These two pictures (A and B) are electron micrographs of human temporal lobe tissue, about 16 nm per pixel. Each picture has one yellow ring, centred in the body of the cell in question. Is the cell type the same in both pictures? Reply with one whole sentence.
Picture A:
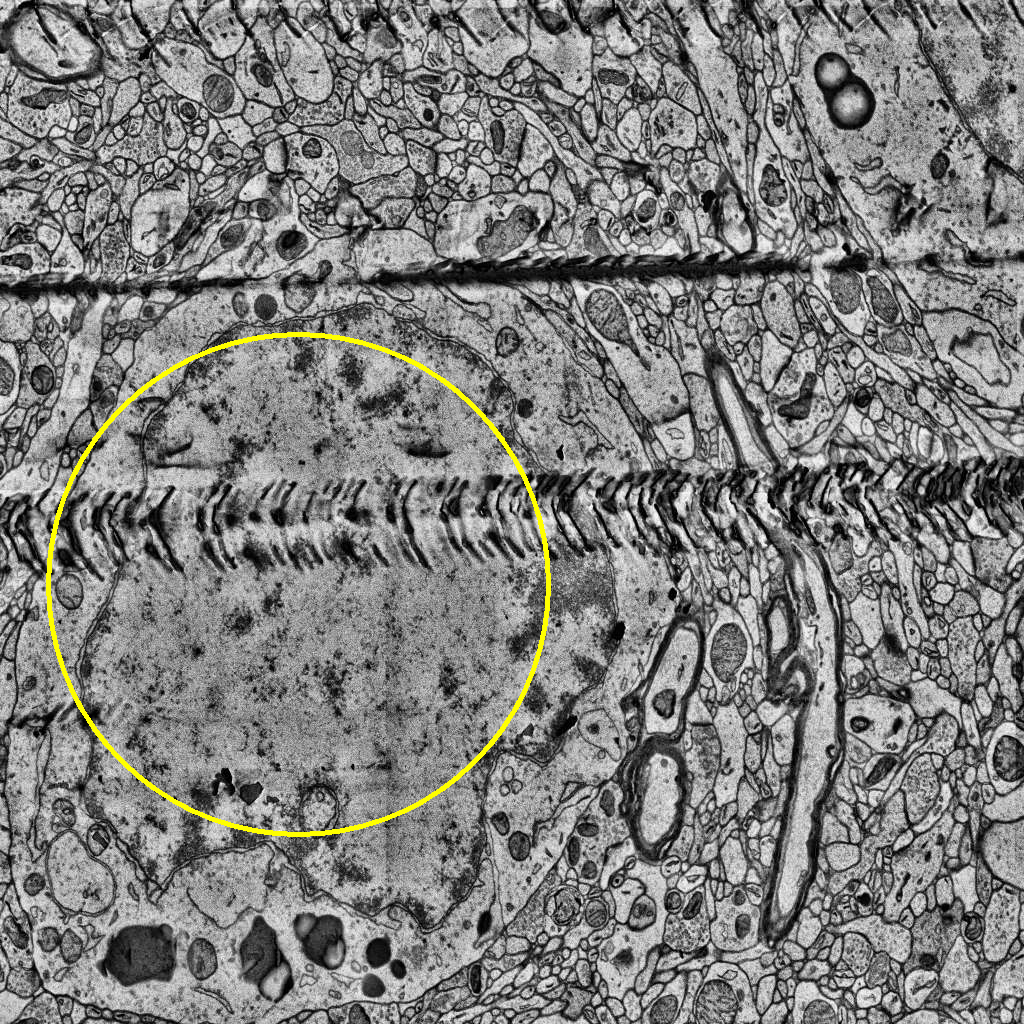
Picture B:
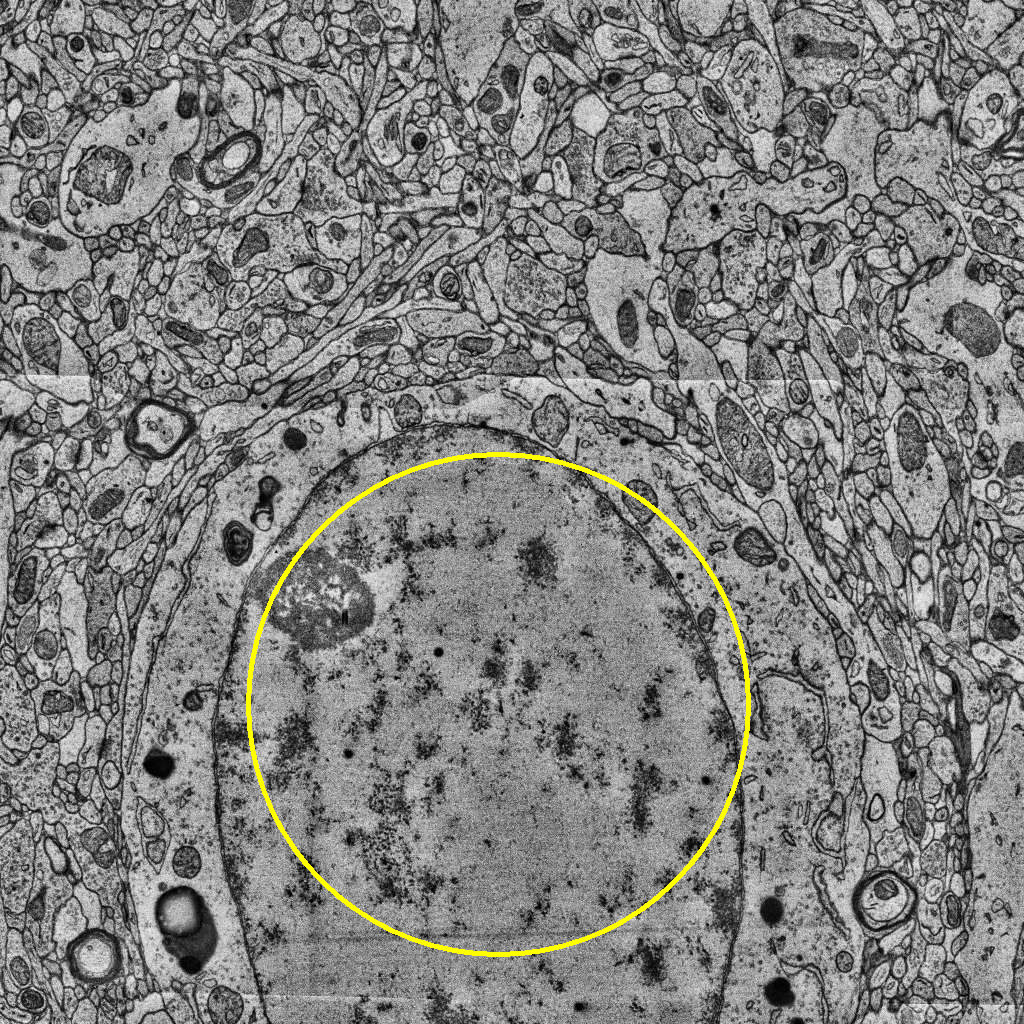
No, the types are not the same, since picture A shows an interneuron and picture B a pyramidal neuron.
